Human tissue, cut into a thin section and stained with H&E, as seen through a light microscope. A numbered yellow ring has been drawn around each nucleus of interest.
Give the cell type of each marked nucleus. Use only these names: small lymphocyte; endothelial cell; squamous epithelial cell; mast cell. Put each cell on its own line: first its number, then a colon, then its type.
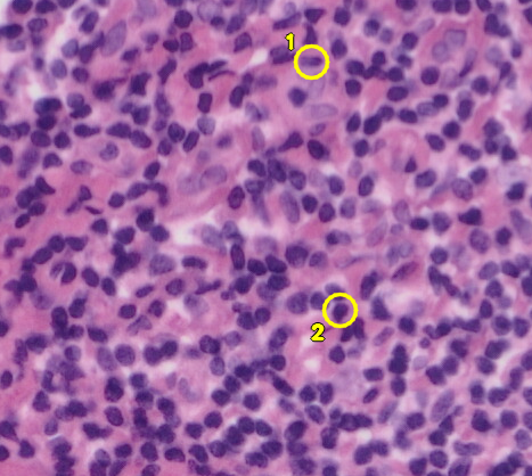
1: endothelial cell
2: small lymphocyte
